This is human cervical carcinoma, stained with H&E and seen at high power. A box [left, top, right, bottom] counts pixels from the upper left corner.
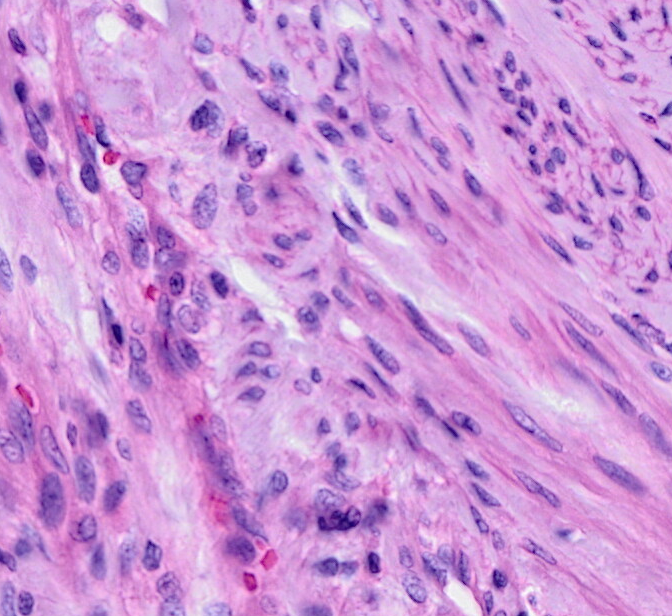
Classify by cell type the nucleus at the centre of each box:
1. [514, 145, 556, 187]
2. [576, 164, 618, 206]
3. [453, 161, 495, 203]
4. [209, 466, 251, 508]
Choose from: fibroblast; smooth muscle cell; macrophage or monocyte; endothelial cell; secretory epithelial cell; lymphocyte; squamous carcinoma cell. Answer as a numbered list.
1. smooth muscle cell
2. smooth muscle cell
3. smooth muscle cell
4. endothelial cell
